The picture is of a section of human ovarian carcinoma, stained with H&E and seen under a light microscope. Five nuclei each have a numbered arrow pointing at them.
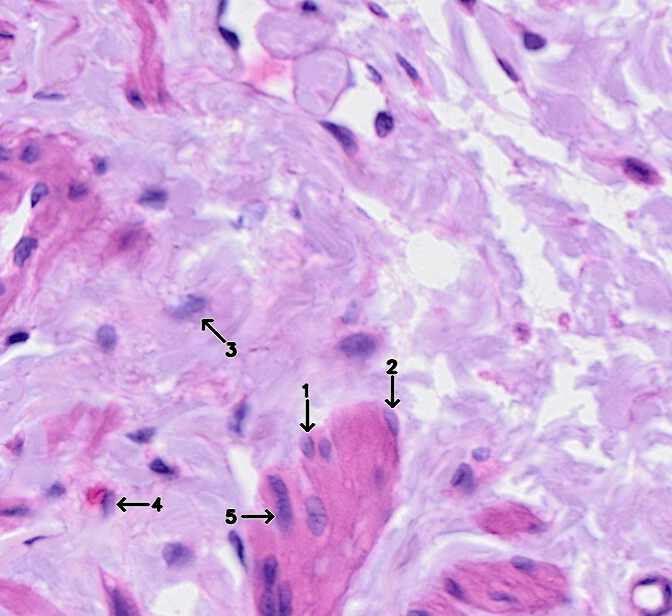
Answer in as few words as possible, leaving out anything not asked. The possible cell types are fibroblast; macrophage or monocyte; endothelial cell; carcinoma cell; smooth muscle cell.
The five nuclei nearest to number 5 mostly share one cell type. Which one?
smooth muscle cell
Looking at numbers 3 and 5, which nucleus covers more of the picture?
3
